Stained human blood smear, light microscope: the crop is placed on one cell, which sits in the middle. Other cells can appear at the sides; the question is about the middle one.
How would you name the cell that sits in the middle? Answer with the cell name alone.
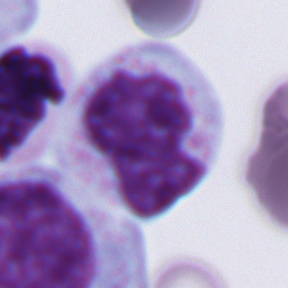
band neutrophil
